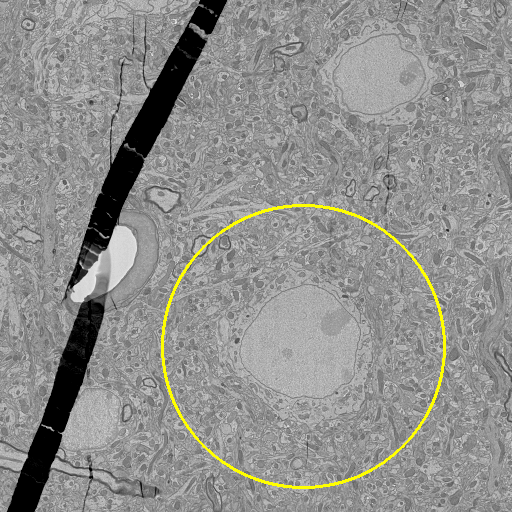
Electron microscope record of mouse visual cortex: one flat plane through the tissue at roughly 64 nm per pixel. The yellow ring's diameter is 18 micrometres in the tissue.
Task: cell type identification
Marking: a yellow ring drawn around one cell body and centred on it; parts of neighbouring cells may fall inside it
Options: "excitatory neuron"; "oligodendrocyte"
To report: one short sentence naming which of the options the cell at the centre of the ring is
The cell at the centre of the ring is an excitatory neuron.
